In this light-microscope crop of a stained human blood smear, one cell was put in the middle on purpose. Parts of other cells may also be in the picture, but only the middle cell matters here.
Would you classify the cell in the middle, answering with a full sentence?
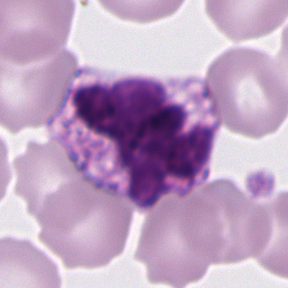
Centrally within this crop lies a basophil.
